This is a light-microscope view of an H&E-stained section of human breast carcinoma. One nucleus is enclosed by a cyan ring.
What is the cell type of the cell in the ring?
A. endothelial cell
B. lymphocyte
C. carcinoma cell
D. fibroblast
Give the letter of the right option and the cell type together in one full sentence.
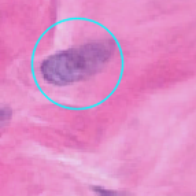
The right pick is option D; the cell in the ring is a fibroblast.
